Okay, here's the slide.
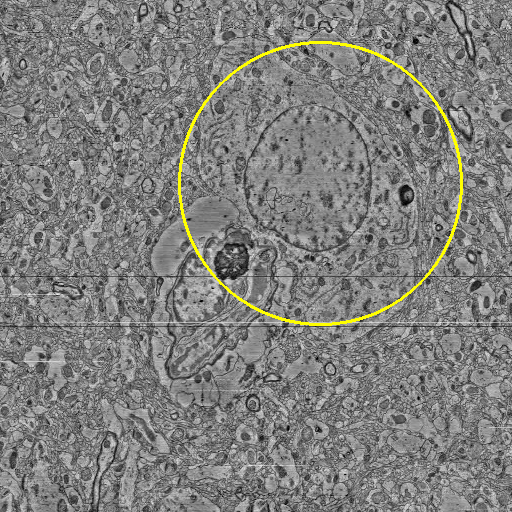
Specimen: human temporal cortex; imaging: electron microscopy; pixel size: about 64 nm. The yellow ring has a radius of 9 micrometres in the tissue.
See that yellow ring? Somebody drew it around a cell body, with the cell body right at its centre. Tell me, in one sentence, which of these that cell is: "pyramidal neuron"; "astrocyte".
The cell in the middle of the ring is a pyramidal neuron.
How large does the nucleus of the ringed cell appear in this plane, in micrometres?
About 10 by 8 micrometers for the nucleus, in this plane.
